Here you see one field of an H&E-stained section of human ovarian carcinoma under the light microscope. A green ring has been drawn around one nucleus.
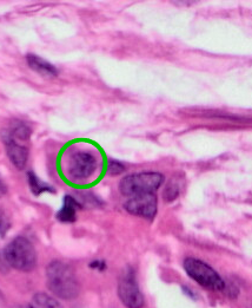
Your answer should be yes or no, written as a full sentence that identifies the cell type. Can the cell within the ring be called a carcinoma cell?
Yes, the cell within the ring is a carcinoma cell; nothing to add.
